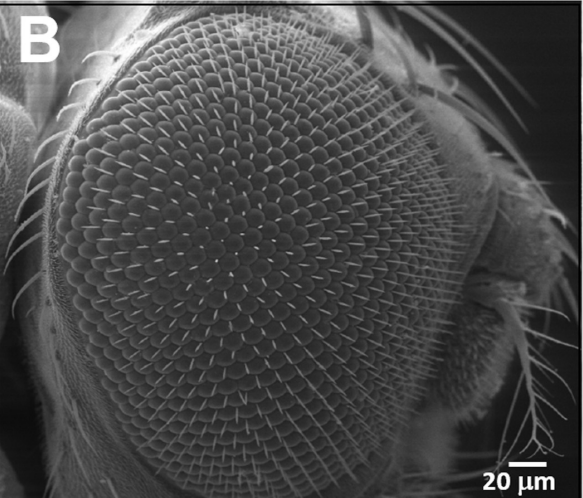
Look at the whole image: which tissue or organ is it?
Compound eye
